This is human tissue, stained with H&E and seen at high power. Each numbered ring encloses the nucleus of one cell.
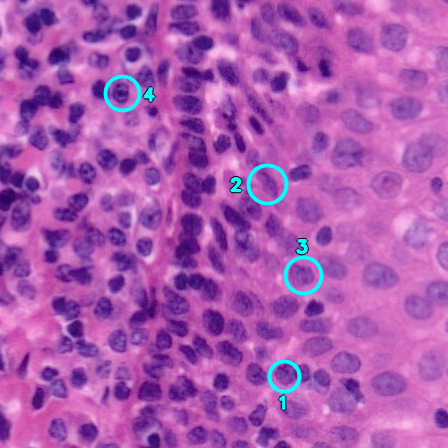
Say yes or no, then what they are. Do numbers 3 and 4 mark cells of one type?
No, cell 3 is a squamous epithelial cell and cell 4 is a plasma cell.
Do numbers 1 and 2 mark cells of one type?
Yes, both are squamous epithelial cells.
